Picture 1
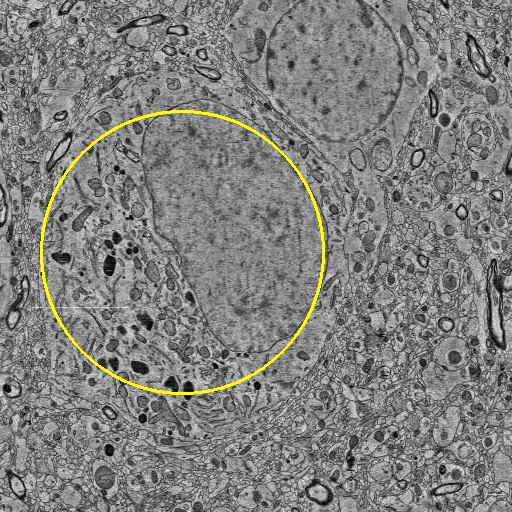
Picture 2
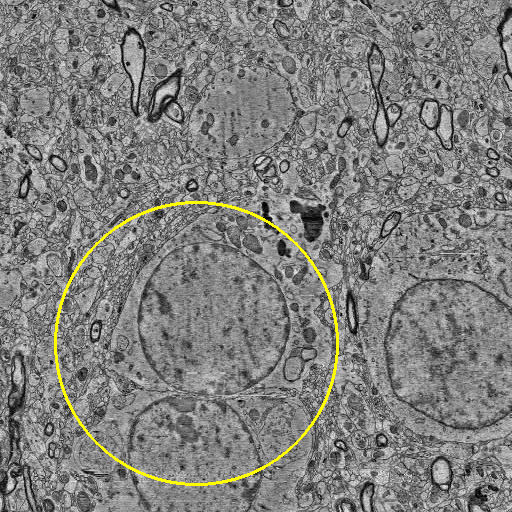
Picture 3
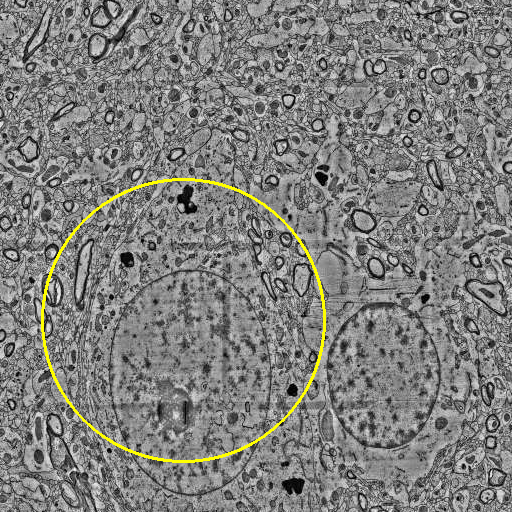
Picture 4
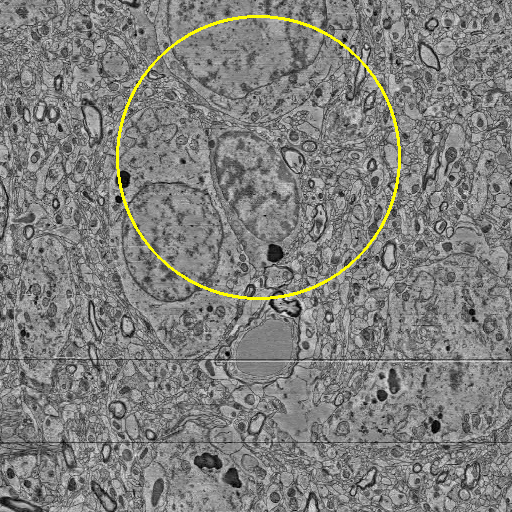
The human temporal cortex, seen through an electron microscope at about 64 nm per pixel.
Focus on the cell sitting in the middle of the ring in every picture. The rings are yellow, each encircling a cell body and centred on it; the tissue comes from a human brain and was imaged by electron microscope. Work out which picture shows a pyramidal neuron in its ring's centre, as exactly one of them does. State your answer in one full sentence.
In picture 3, the ring is centred on the cell in question.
